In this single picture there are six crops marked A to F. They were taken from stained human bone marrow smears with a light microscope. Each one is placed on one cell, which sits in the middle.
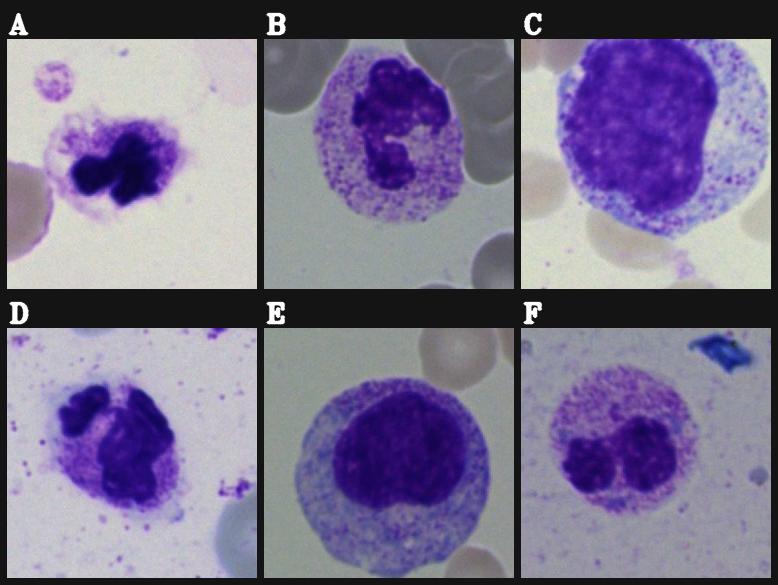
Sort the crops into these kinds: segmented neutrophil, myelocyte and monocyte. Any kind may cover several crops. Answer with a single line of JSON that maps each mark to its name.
{"A": "segmented neutrophil", "B": "segmented neutrophil", "C": "myelocyte", "D": "segmented neutrophil", "E": "myelocyte", "F": "segmented neutrophil"}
